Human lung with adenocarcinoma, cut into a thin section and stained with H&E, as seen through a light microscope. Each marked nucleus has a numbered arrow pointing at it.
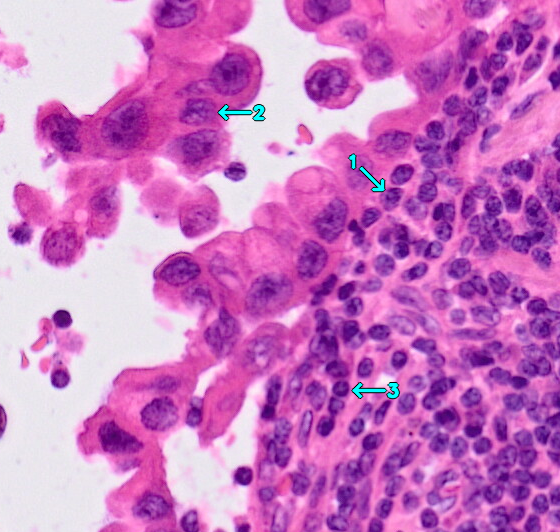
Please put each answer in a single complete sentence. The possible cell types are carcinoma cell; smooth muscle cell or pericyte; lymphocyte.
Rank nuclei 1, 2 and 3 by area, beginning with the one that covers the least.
Smallest first, the nuclei run 3, 1, 2.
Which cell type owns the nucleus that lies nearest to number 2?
The cell nearest to number 2 is a carcinoma cell.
